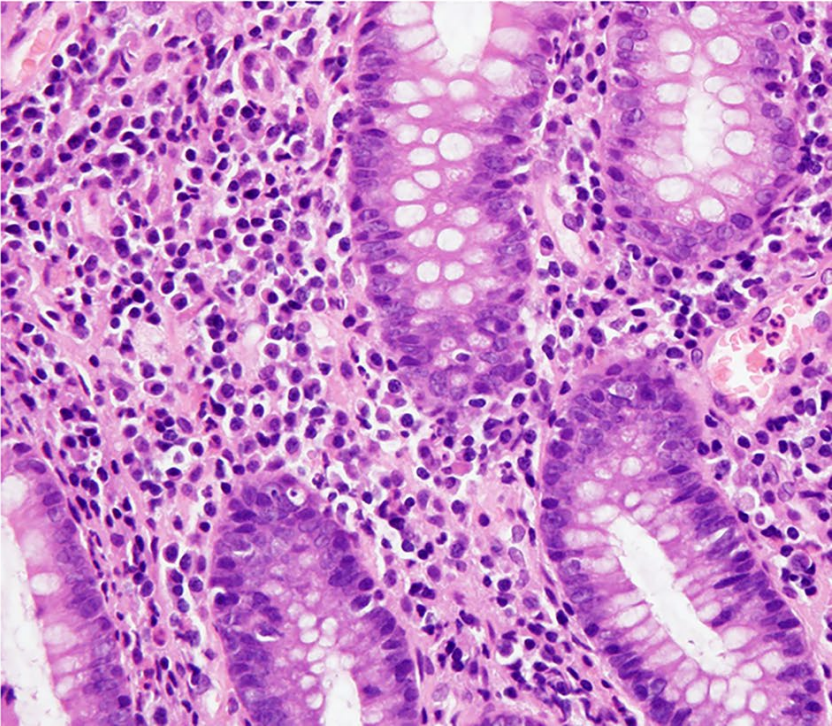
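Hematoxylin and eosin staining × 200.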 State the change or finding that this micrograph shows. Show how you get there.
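Diffuse stromal lymphoplasmacytic infiltration. The stroma between the glands is packed with small round cells with dark nuclei. Some of these infiltrating cells have eccentric nuclei and more cytoplasm. The infiltrate fills the stroma across the whole field rather than forming a focal cluster.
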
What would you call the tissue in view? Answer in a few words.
Colonic mucosa.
